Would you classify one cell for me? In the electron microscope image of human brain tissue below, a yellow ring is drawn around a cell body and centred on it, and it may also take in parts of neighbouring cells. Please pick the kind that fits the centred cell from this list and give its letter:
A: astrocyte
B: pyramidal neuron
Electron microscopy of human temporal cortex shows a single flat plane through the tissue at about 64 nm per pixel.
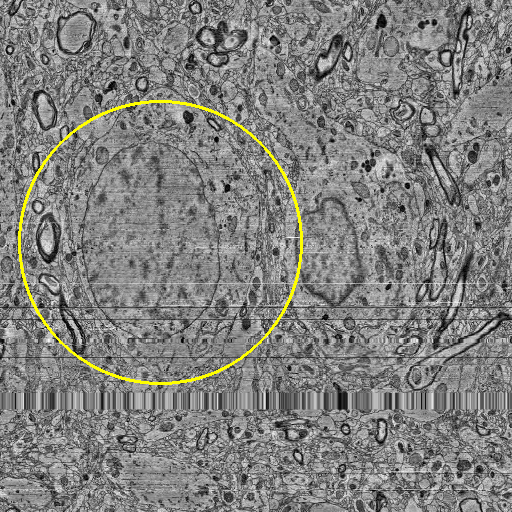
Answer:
B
